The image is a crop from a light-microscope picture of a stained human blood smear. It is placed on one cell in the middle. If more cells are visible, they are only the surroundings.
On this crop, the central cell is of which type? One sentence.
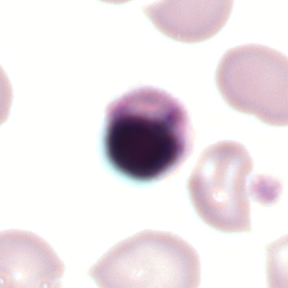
In the crop, the cell of interest at the centre is a normoblast.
